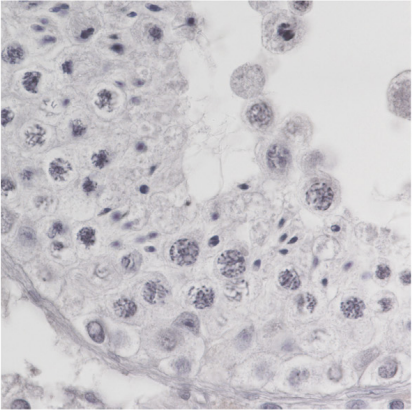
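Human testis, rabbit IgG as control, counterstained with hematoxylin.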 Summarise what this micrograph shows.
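A seminiferous epithelium is stained only blue, with no brown anywhere: large spermatocytes with coarse, thread-like chromatin fill the middle layers. Toward the open lumen lie small dark elongated nuclei of spermatids, and a thin pale fibrous boundary runs along the lower left edge.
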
